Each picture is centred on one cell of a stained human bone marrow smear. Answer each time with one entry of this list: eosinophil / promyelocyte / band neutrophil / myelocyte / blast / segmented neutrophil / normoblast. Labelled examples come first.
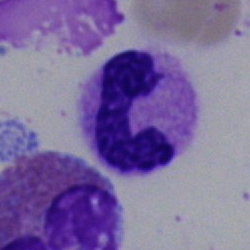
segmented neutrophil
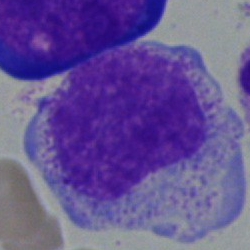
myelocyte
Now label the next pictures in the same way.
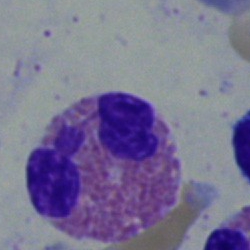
eosinophil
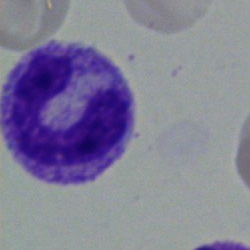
band neutrophil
